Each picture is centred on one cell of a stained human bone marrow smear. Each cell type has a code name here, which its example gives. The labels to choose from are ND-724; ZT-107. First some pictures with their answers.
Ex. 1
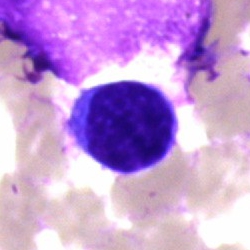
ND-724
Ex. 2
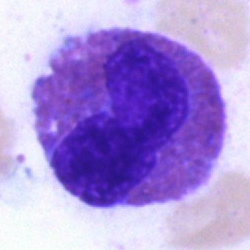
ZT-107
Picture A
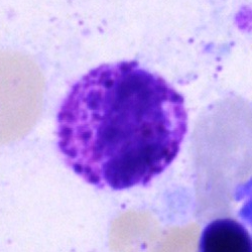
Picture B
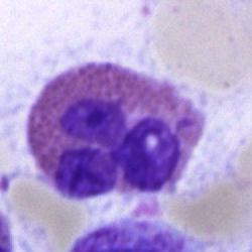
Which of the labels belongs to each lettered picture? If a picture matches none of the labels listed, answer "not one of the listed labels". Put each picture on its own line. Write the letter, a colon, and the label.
A: not one of the listed labels
B: ZT-107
